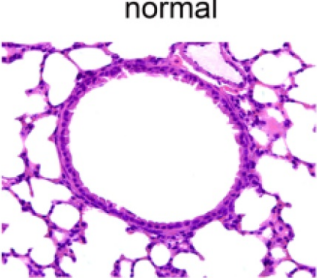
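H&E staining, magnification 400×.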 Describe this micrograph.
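This is lung tissue with a round bronchiole in the centre. The airway is lined by a thin, even layer of epithelial cells with a slim pink wall, and thin-walled air spaces surround it. There are few cells around the airway.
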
